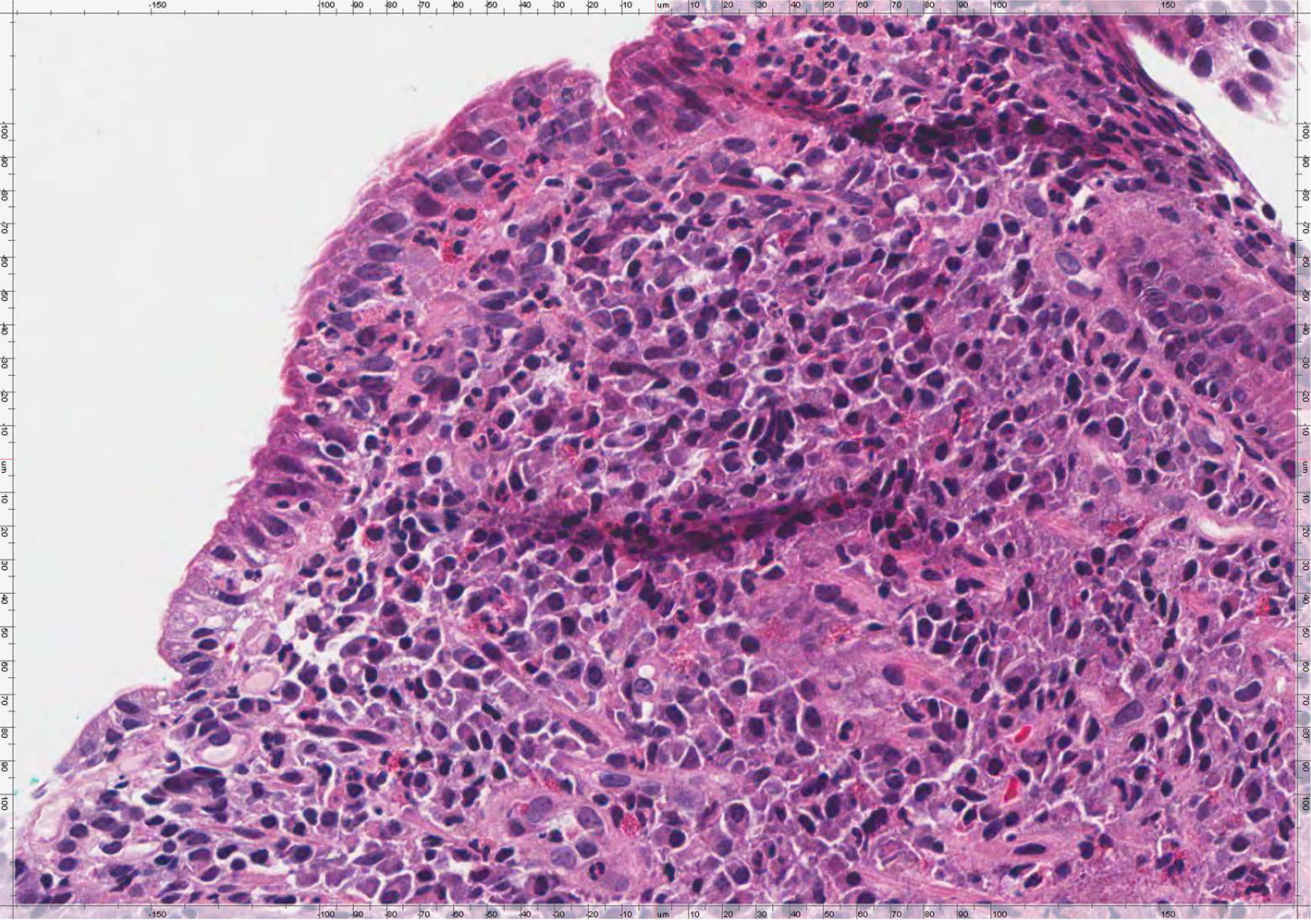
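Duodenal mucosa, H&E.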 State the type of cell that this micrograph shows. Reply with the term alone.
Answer: Chronic inflammatory cells.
